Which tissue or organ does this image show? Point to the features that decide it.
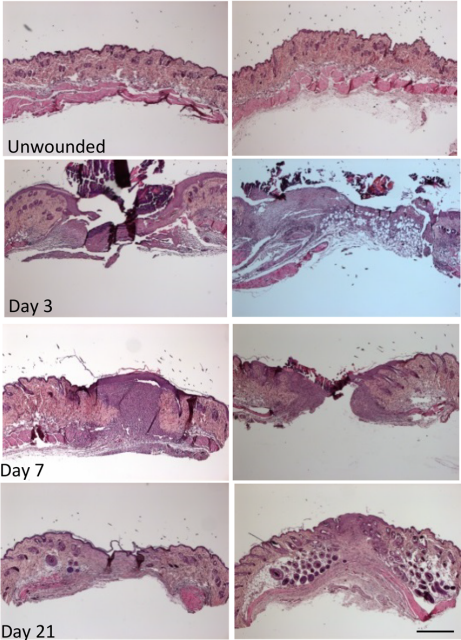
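Skin. A thin, dark-purple surface layer sits over a thicker pink connective tissue layer. Round, follicle-like structures lie within the connective tissue below the surface. A band of pink muscle-like tissue runs along the deep edge of the sections.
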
